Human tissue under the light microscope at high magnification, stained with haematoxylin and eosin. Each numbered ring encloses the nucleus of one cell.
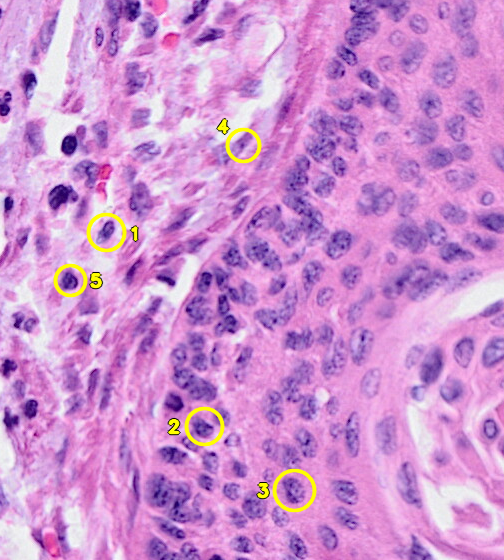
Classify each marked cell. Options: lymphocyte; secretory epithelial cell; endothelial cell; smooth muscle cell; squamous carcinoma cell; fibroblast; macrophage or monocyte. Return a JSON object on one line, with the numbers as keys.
{"1": "lymphocyte", "2": "squamous carcinoma cell", "3": "squamous carcinoma cell", "4": "fibroblast", "5": "lymphocyte"}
